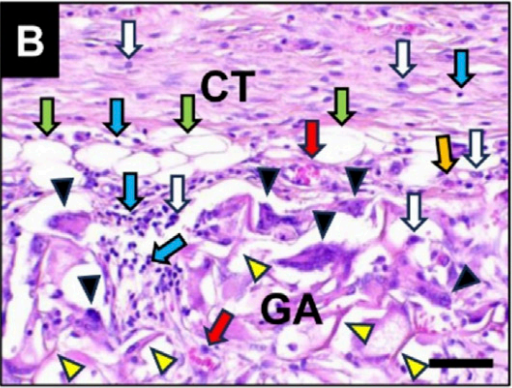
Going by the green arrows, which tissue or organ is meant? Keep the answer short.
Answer: fat tissue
